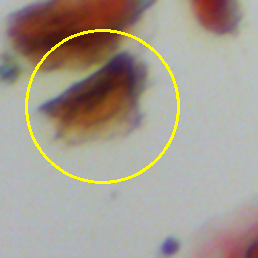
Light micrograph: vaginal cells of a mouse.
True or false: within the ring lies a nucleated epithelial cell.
False: a cornified epithelial cell lies within the ring.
